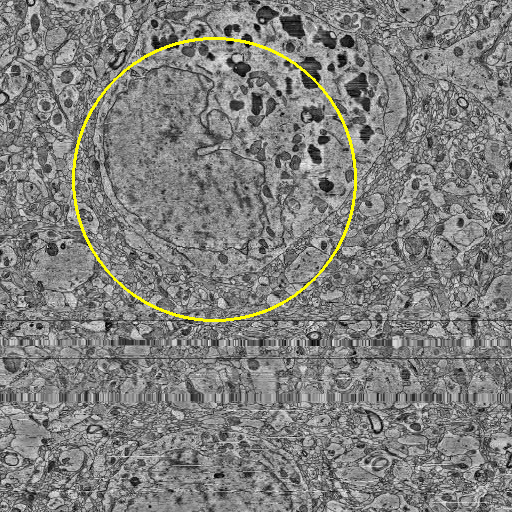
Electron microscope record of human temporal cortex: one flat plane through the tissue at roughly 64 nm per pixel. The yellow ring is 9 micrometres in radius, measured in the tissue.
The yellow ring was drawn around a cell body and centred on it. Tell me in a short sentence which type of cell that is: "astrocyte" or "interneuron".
The cell at the ring's centre is an interneuron.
